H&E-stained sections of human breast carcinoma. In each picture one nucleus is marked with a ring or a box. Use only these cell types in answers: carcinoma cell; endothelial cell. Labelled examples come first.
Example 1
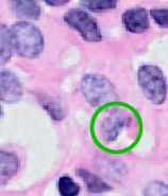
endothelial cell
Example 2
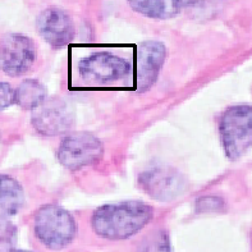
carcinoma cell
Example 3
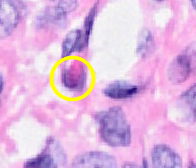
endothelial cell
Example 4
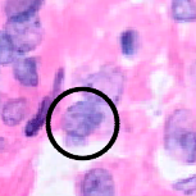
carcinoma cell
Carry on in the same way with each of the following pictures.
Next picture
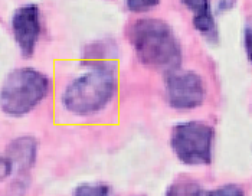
carcinoma cell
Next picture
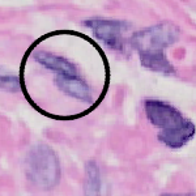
endothelial cell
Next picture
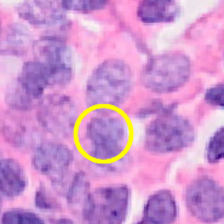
carcinoma cell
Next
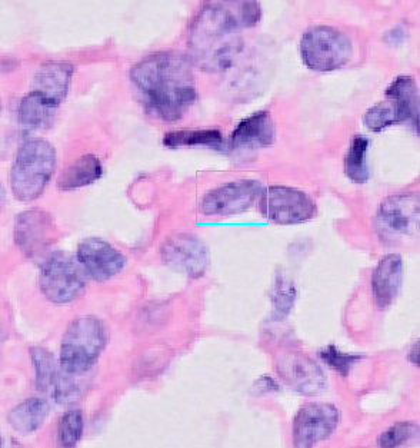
carcinoma cell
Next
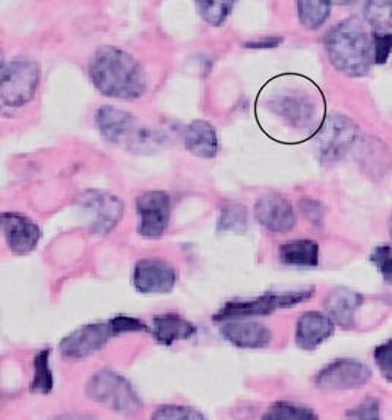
carcinoma cell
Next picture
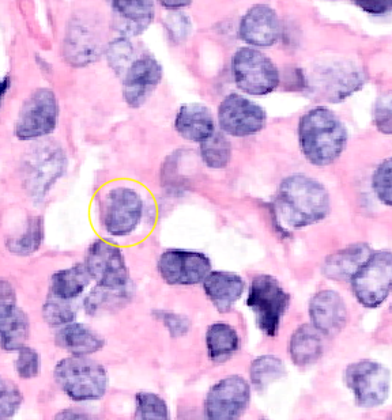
carcinoma cell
